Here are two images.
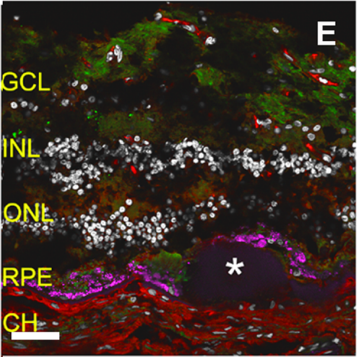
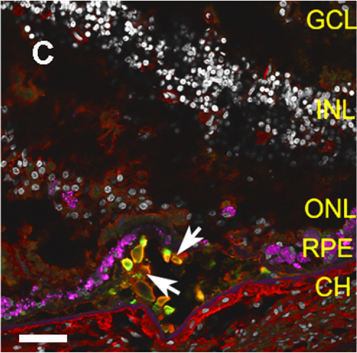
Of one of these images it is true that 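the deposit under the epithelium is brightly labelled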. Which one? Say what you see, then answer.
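First image: the dome-shaped deposit is dull, almost unlabelled. Second image: globules in the deposit glow bright yellow-green and red. That points to this answer: the second image.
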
